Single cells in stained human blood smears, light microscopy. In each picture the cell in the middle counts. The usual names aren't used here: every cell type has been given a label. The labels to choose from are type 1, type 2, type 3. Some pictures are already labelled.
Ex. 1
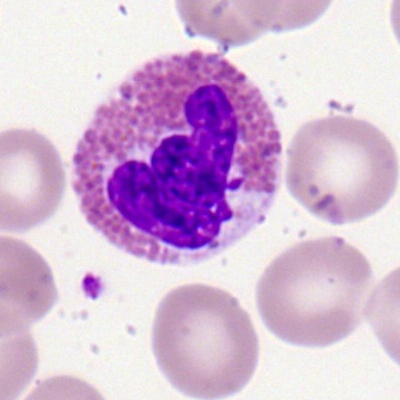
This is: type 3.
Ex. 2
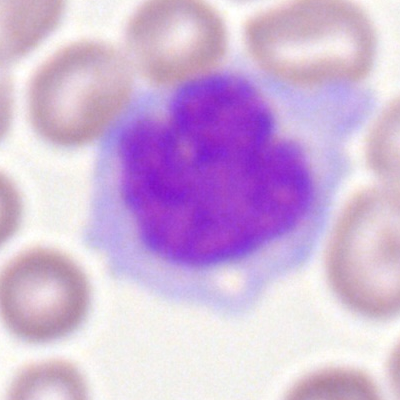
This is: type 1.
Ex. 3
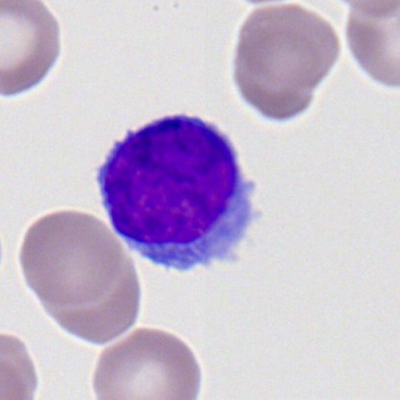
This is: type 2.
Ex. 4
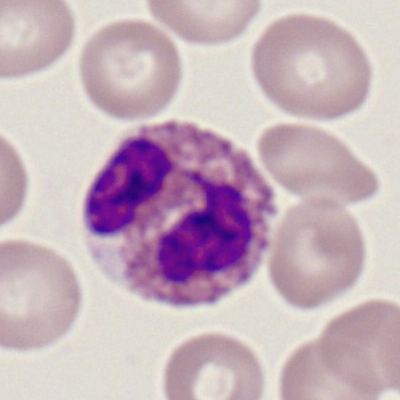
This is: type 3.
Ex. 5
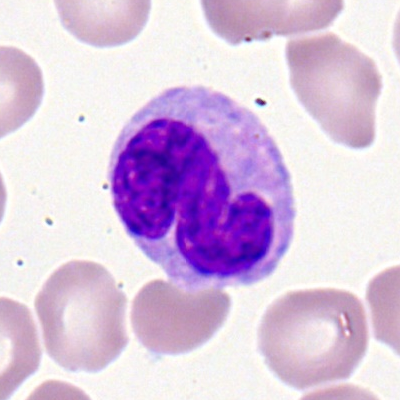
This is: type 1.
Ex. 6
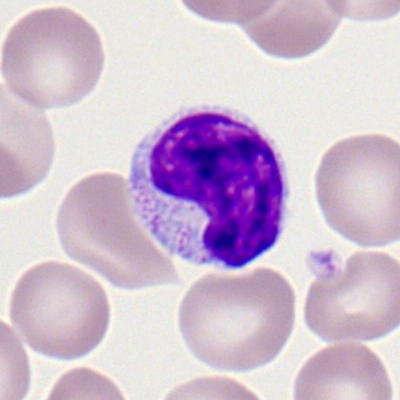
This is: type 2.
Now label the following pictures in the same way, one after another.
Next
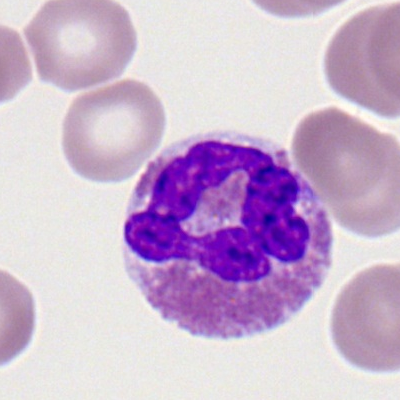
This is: type 3.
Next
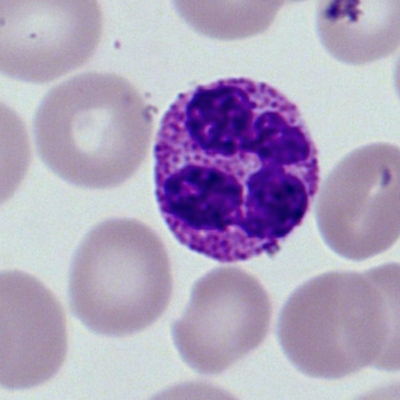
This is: type 3.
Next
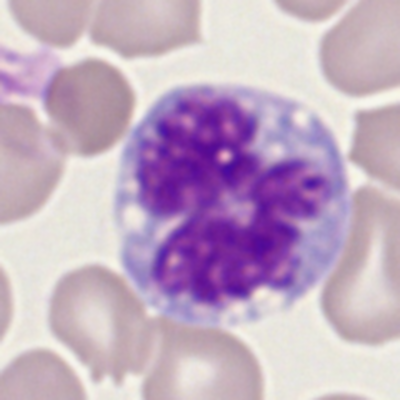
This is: type 1.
